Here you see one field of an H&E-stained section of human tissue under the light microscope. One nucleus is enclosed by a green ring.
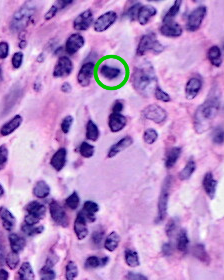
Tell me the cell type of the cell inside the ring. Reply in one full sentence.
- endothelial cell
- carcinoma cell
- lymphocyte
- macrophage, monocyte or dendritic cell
Just put down that the cell inside the ring is a lymphocyte.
